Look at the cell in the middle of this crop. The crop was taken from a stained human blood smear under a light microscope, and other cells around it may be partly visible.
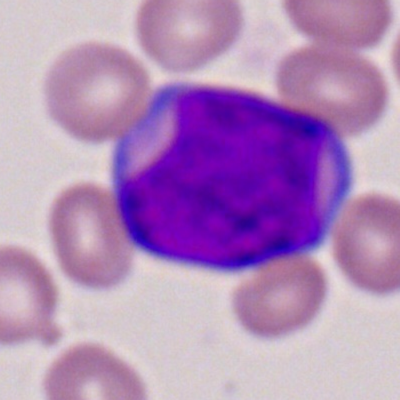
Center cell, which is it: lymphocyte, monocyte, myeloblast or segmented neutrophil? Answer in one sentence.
Seen at the centre of the crop is a myeloblast.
